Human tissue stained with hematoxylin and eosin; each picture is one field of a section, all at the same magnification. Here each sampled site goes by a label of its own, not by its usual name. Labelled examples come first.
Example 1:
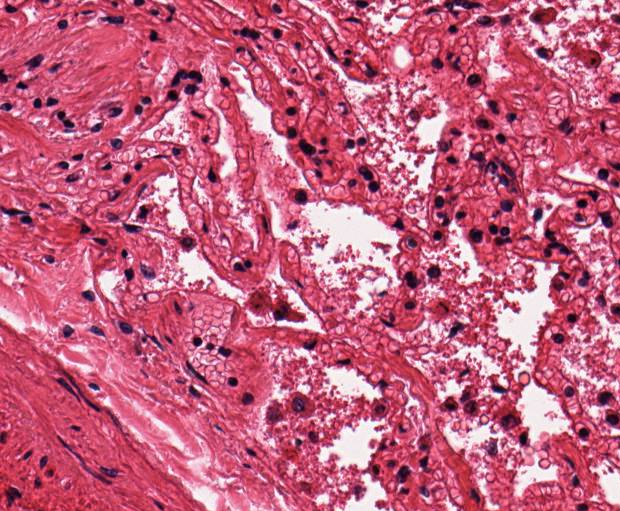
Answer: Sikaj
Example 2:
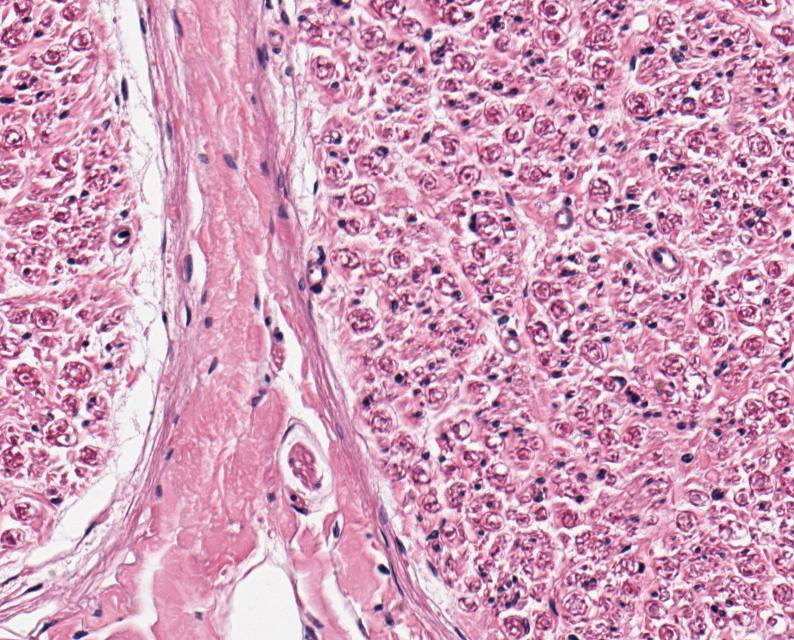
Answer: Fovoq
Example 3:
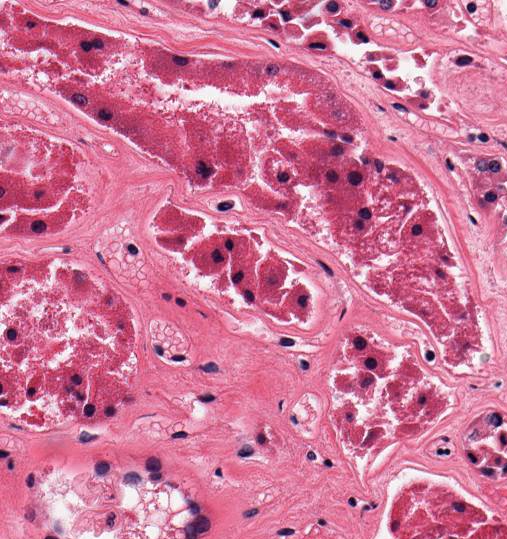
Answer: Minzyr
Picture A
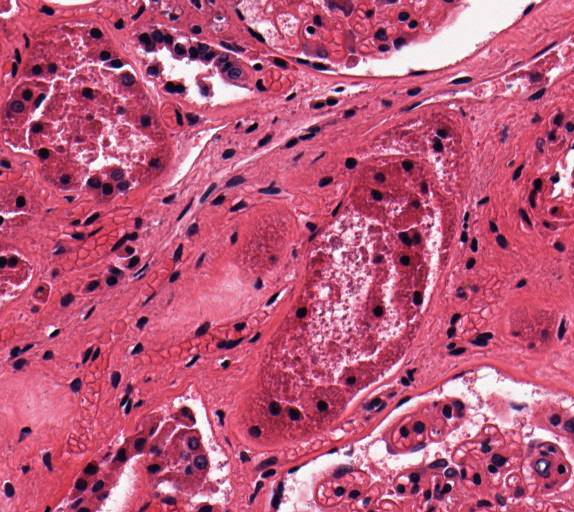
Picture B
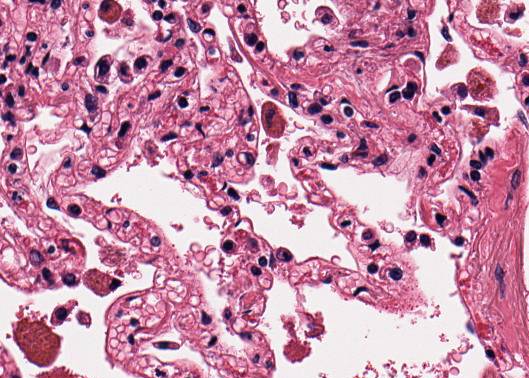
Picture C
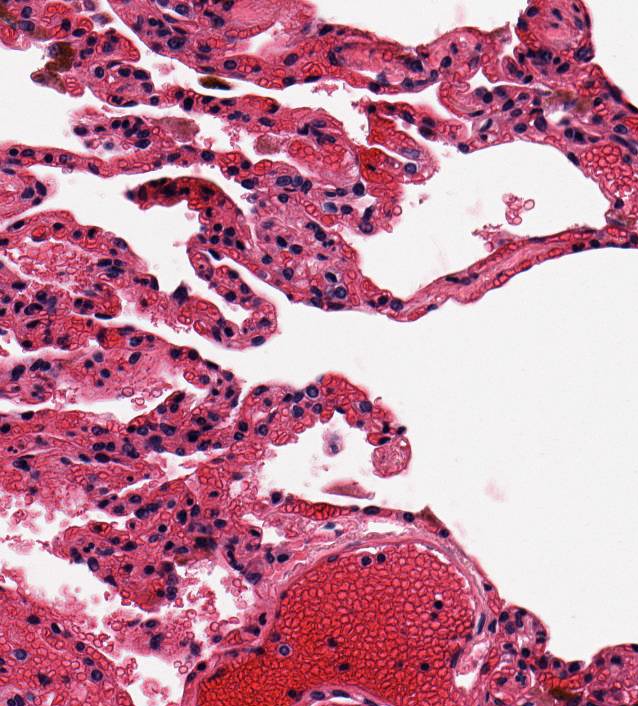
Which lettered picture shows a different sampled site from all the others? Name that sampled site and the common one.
A differs and shows Minzyr; the others show Sikaj.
